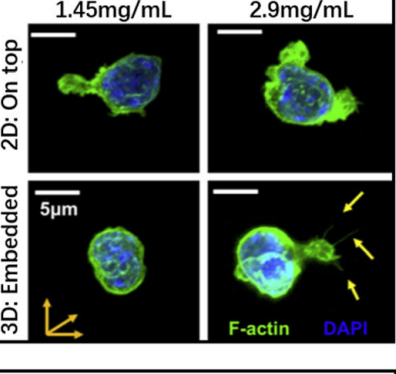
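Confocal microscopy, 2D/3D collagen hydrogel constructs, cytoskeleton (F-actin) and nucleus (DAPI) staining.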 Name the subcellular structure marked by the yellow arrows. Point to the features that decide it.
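Thin filopodial protrusions. The yellow arrows point at fine thread-like green extensions off one cell. The extensions are much thinner than the cell body.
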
